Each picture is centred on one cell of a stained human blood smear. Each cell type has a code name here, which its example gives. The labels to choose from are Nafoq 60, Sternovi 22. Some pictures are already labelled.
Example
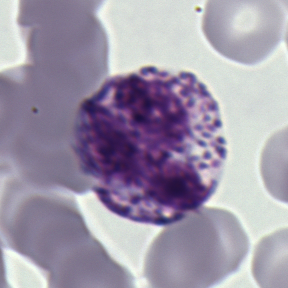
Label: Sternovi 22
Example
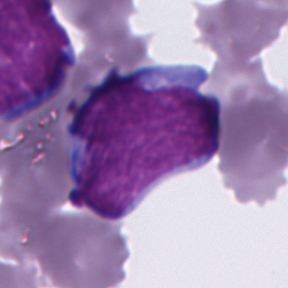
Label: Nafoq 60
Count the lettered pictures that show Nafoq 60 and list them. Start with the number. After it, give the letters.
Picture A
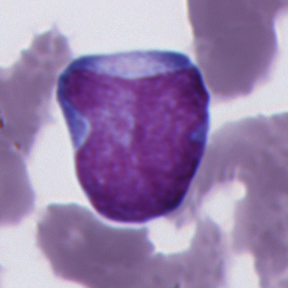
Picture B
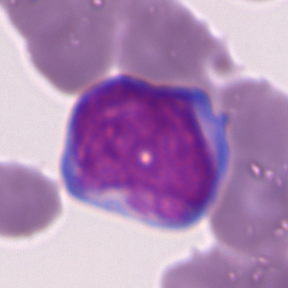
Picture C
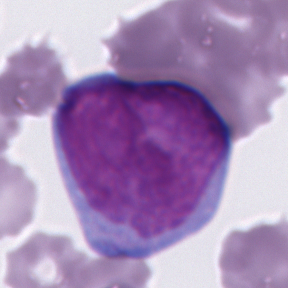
Count: 3 (A, B, C)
